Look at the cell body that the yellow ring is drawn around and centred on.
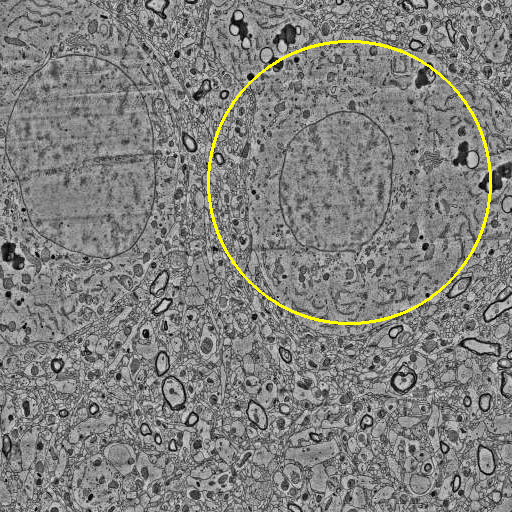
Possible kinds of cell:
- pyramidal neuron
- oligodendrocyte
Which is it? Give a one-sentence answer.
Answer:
The centred cell body is that of a pyramidal neuron.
